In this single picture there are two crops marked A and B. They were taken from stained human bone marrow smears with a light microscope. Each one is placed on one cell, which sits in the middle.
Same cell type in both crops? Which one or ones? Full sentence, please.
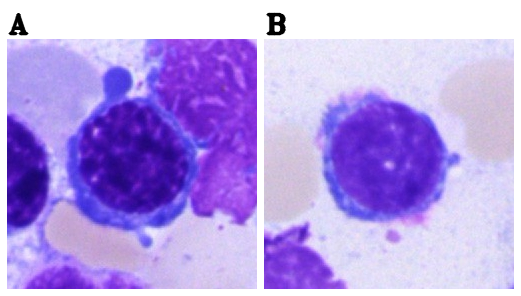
No, crop B shows a lymphocyte, and crop A shows an erythroblast.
